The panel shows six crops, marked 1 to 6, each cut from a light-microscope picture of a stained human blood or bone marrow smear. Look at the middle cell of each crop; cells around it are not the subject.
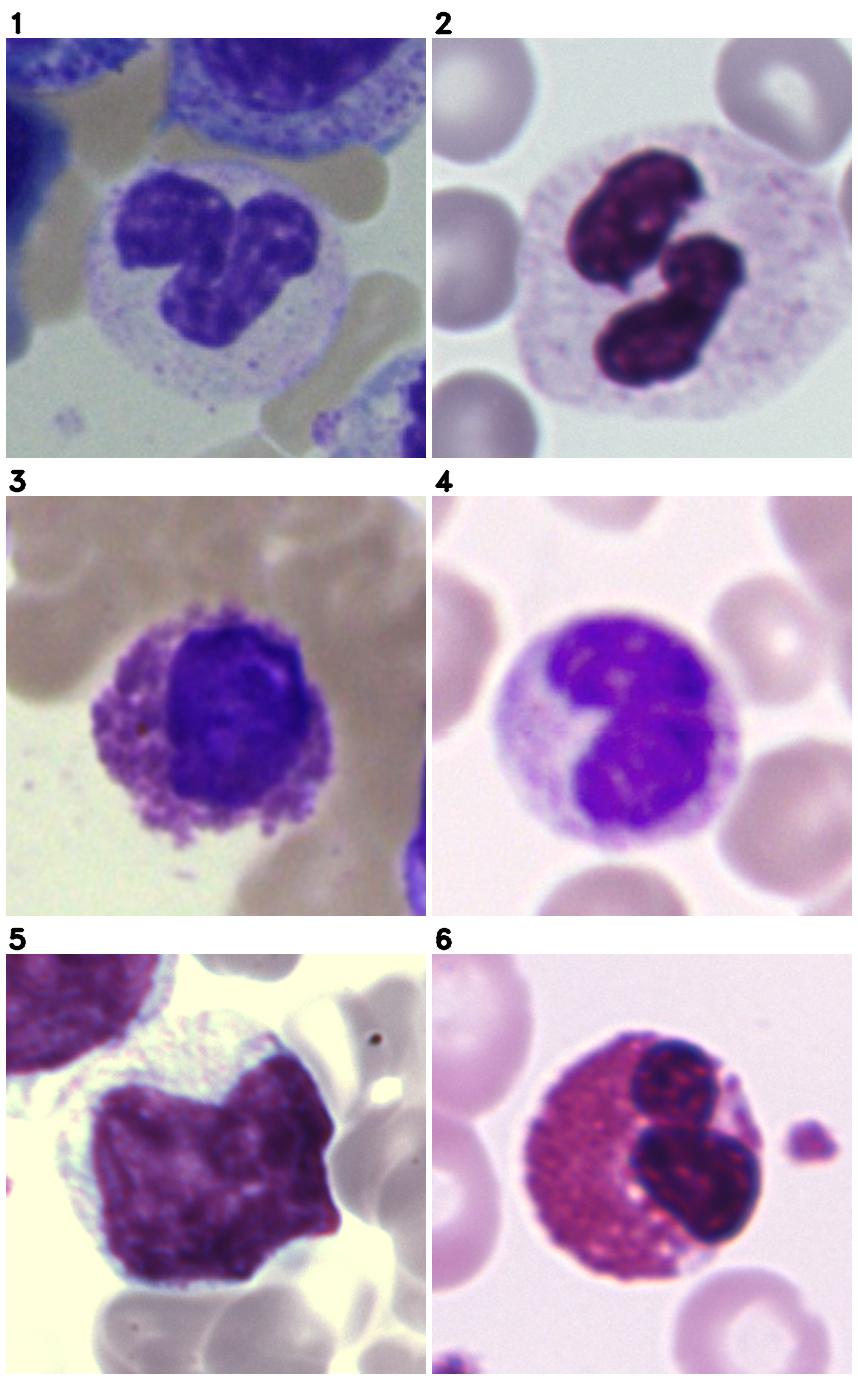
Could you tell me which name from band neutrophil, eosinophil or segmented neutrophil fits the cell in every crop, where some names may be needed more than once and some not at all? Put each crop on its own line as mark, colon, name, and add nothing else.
1: segmented neutrophil
2: segmented neutrophil
3: eosinophil
4: band neutrophil
5: band neutrophil
6: eosinophil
